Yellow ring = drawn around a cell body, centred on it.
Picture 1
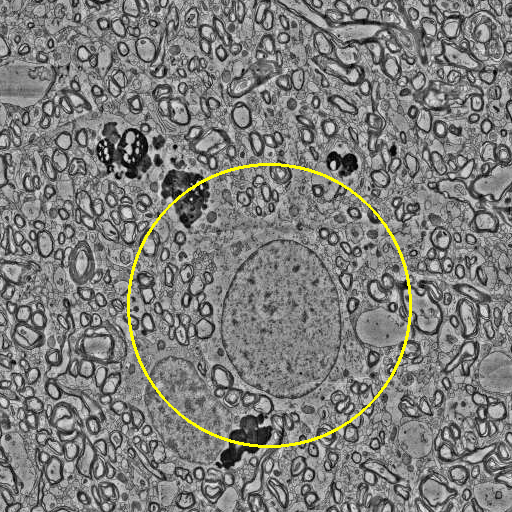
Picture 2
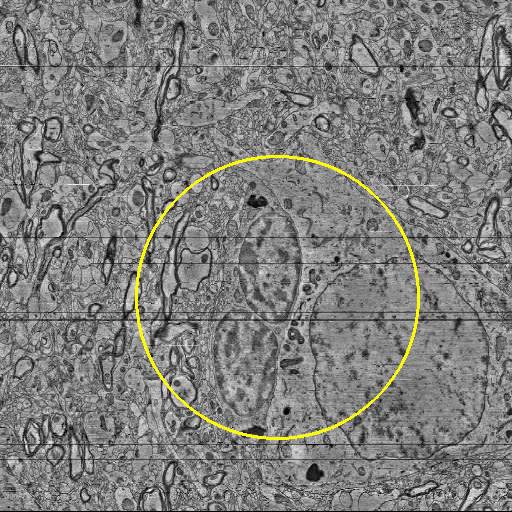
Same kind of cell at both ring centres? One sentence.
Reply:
No, they are two kinds of cell.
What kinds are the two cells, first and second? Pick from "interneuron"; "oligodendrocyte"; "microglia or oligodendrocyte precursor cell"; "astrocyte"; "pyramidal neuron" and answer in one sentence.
The second picture holds an oligodendrocyte in its ring, and the first holds an astrocyte.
